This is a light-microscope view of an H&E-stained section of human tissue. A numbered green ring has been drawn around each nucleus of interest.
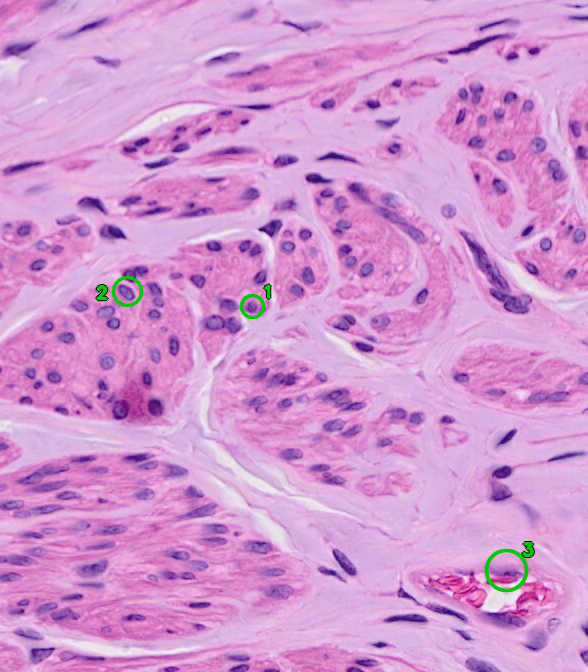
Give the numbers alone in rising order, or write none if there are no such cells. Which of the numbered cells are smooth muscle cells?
1, 2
